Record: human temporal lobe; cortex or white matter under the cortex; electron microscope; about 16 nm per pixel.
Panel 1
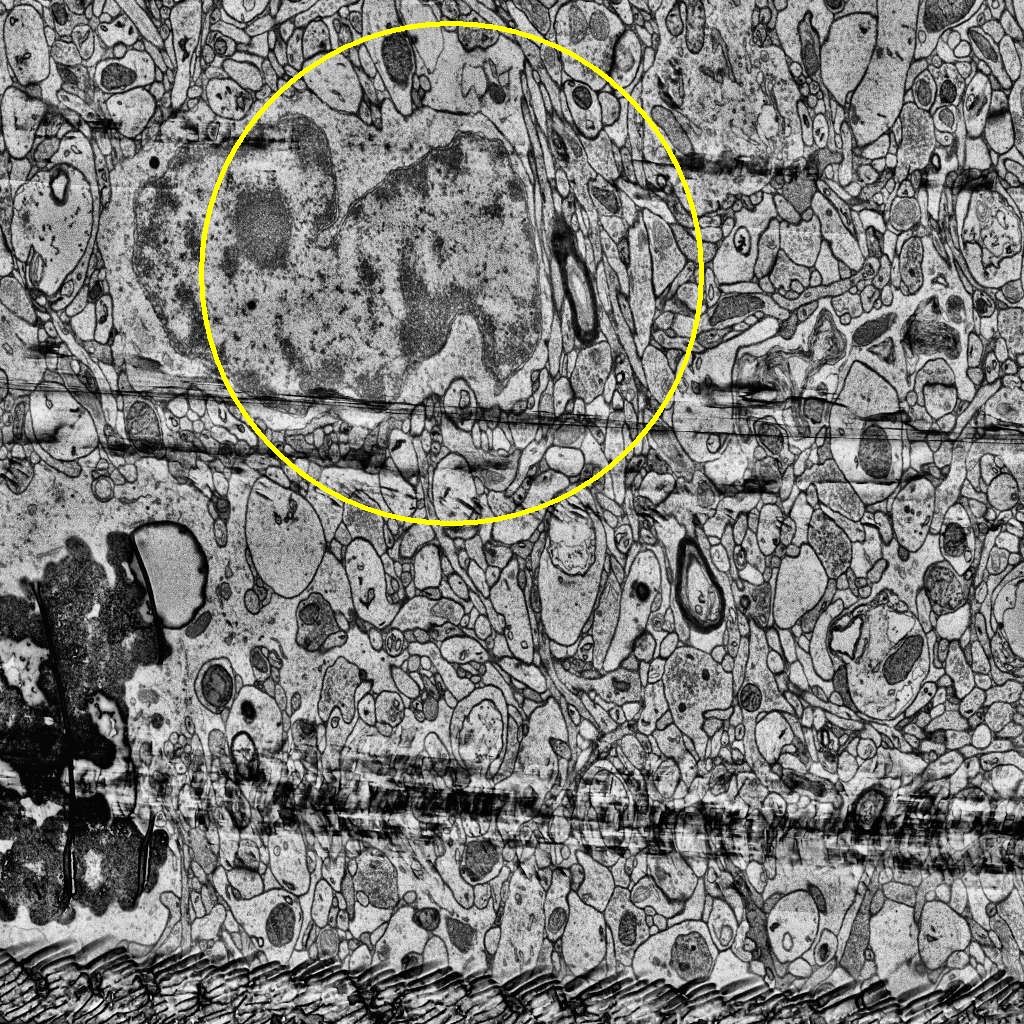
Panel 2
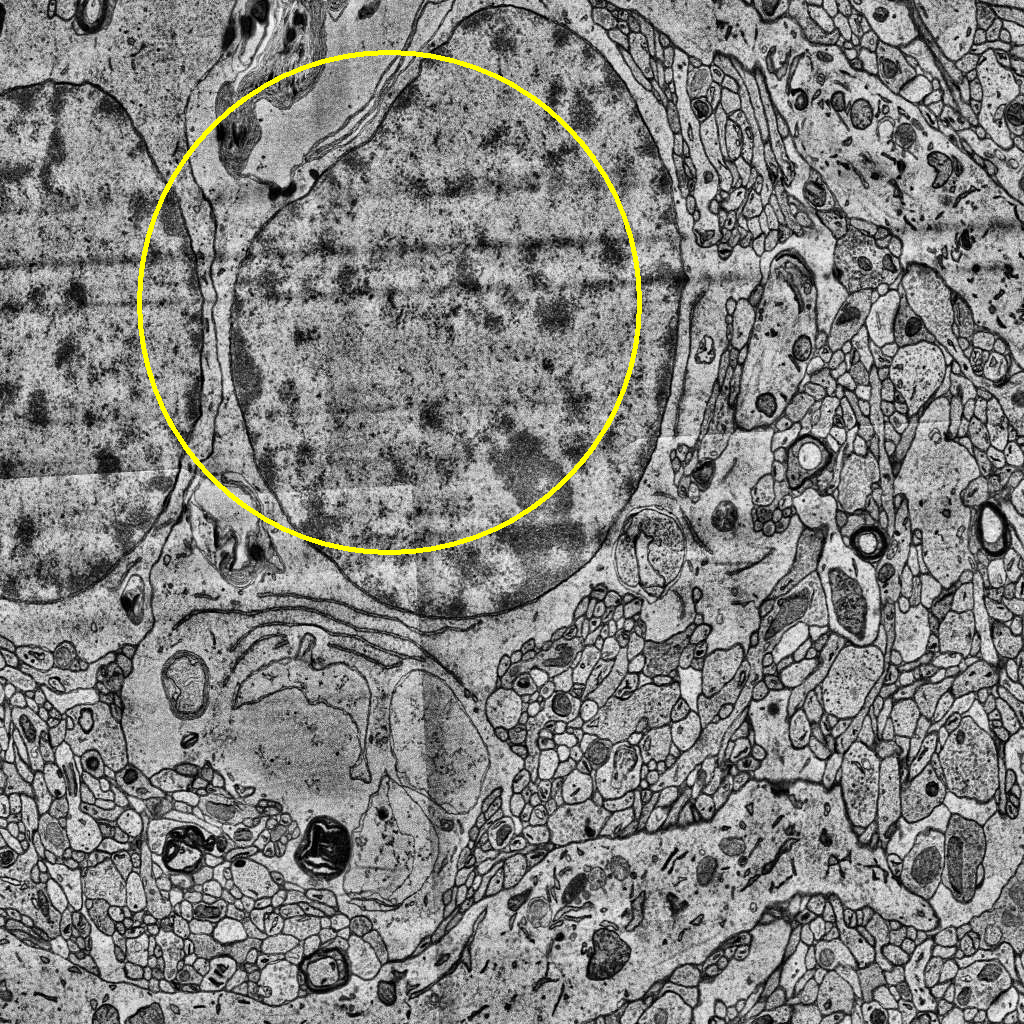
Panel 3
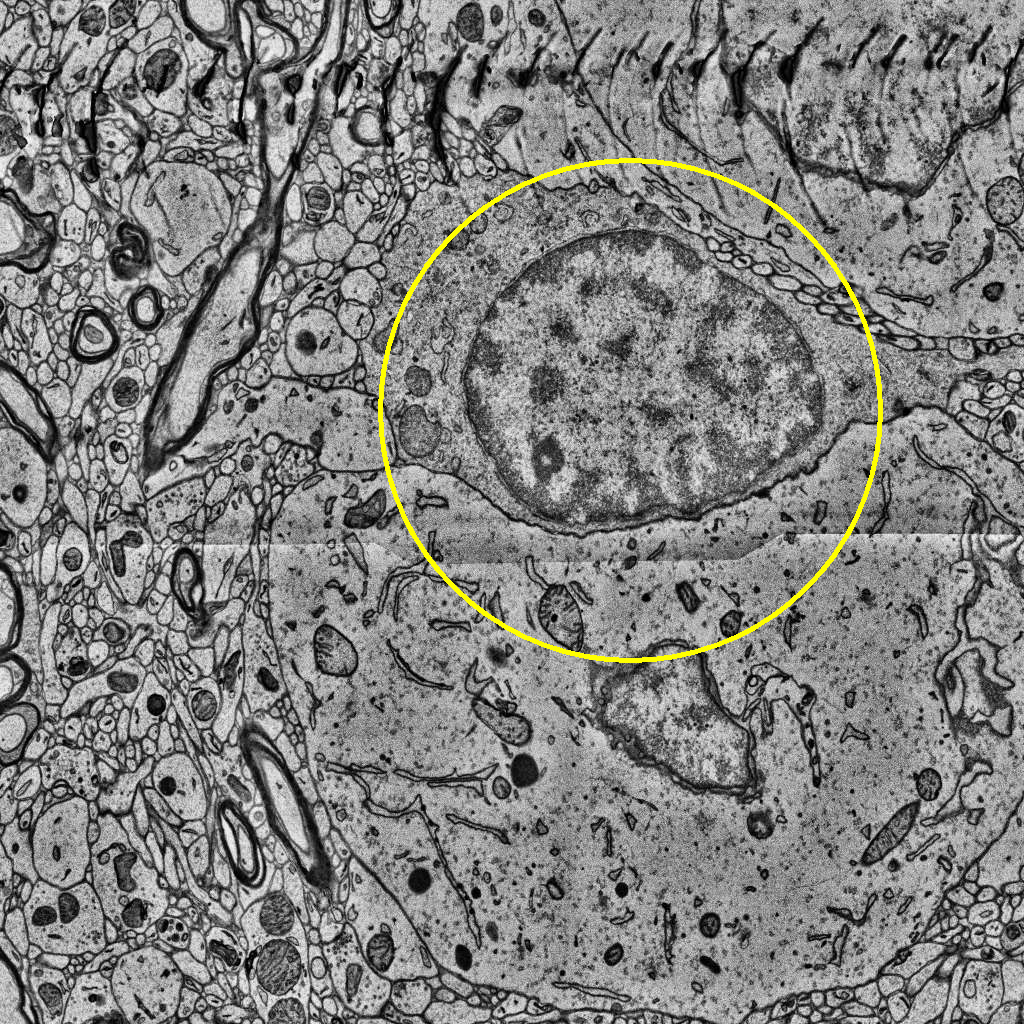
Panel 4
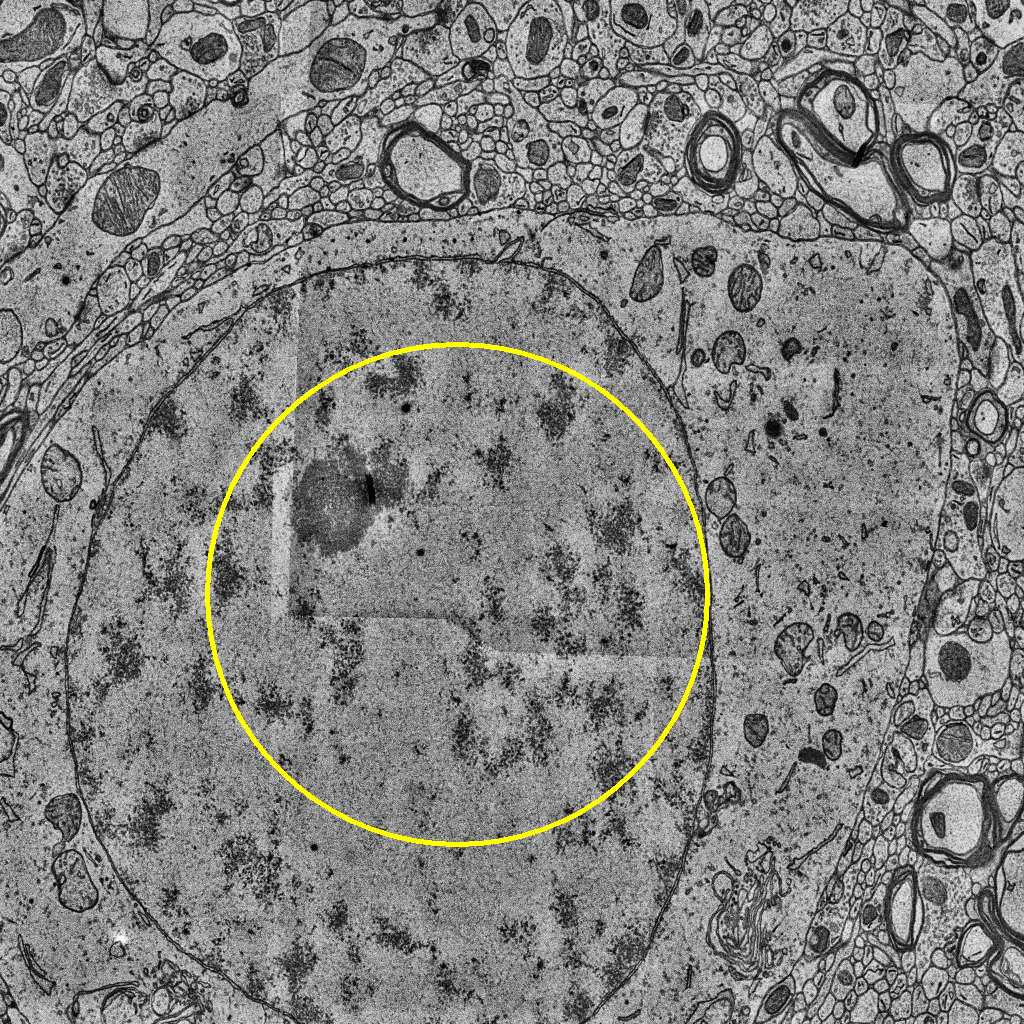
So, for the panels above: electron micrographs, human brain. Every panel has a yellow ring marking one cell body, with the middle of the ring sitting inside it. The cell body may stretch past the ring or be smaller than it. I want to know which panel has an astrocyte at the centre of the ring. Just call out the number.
2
